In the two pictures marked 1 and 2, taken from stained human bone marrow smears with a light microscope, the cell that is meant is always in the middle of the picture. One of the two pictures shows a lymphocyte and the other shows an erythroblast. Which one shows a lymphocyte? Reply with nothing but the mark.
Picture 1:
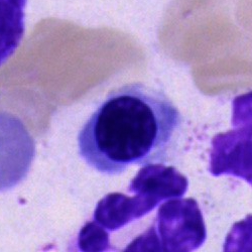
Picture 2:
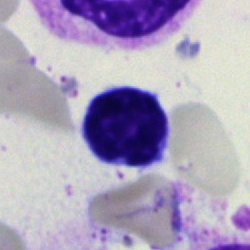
2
